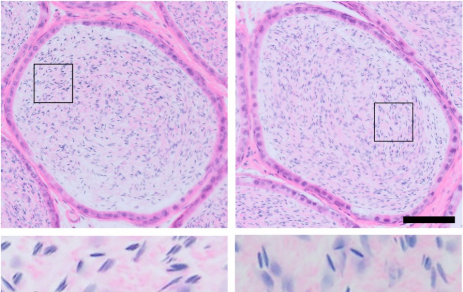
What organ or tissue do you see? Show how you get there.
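Cauda epididymis. A large duct with a wide lumen packed densely with sperm. The duct is lined by a thin epithelium surrounded by pink stroma.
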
